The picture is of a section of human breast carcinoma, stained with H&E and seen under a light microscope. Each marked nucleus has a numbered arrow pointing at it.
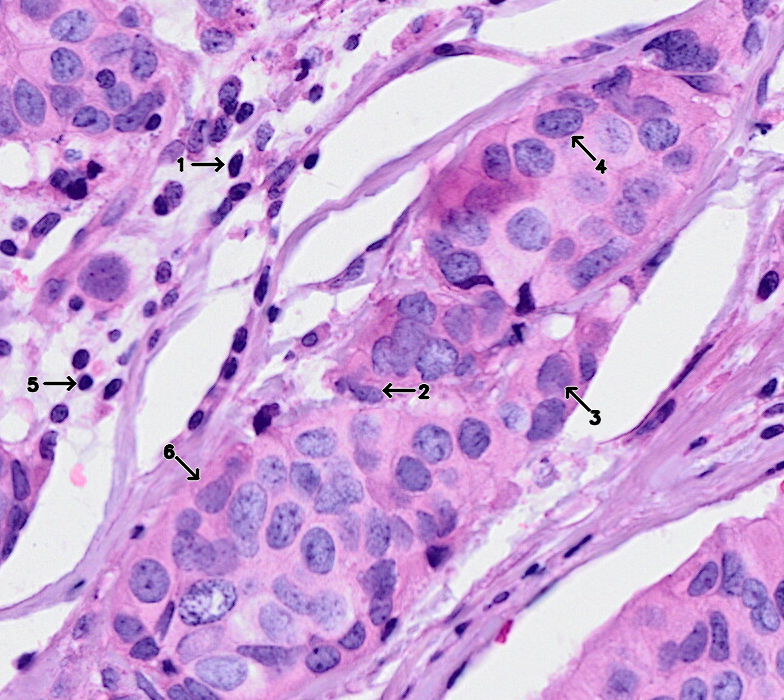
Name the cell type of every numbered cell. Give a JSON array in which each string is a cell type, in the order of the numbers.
["lymphocyte", "carcinoma cell", "carcinoma cell", "carcinoma cell", "lymphocyte", "carcinoma cell"]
